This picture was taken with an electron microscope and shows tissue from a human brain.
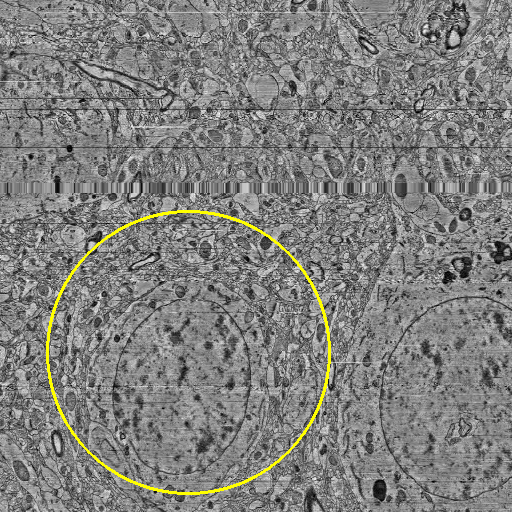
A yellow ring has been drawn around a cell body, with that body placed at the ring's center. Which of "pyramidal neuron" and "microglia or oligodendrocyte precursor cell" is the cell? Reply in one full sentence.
In this picture, a pyramidal neuron is the cell at the center of the yellow ring.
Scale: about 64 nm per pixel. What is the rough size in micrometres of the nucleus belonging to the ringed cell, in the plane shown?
About 12 by 9 micrometers, in this plane.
